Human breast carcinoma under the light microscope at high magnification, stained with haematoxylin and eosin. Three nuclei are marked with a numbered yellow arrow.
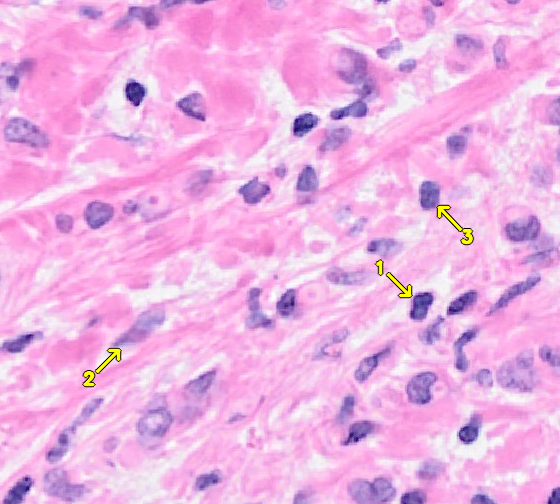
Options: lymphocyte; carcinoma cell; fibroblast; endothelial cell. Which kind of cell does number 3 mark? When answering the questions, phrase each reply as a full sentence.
The cell carrying label 3 is identified as a lymphocyte.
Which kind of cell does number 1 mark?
The cell marked with the number 1 is a lymphocyte.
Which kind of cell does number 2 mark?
The cell that carries the label 2 is a fibroblast.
